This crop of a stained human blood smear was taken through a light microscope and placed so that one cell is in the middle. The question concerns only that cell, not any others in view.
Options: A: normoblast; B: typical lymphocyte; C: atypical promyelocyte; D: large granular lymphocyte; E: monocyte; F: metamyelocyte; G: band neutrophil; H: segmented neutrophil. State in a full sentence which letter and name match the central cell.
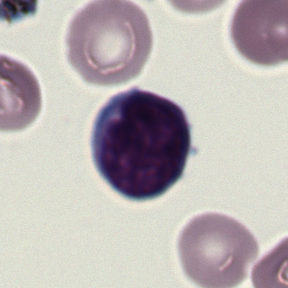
For this crop, option B is right, the centered cell being a typical lymphocyte.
